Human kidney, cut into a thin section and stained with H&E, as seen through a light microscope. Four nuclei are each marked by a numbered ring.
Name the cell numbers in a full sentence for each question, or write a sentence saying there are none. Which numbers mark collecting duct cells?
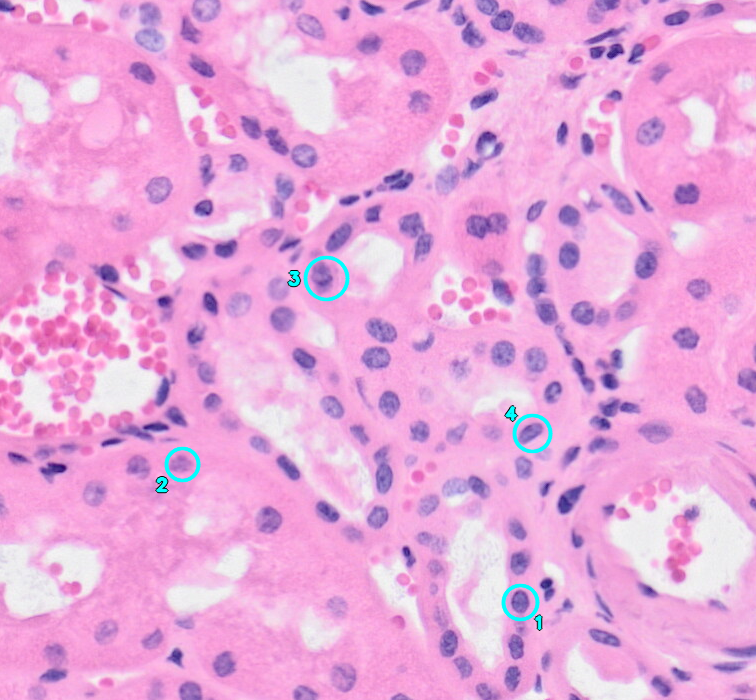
Cells 1, 3 and 4 are classified as collecting duct cells.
